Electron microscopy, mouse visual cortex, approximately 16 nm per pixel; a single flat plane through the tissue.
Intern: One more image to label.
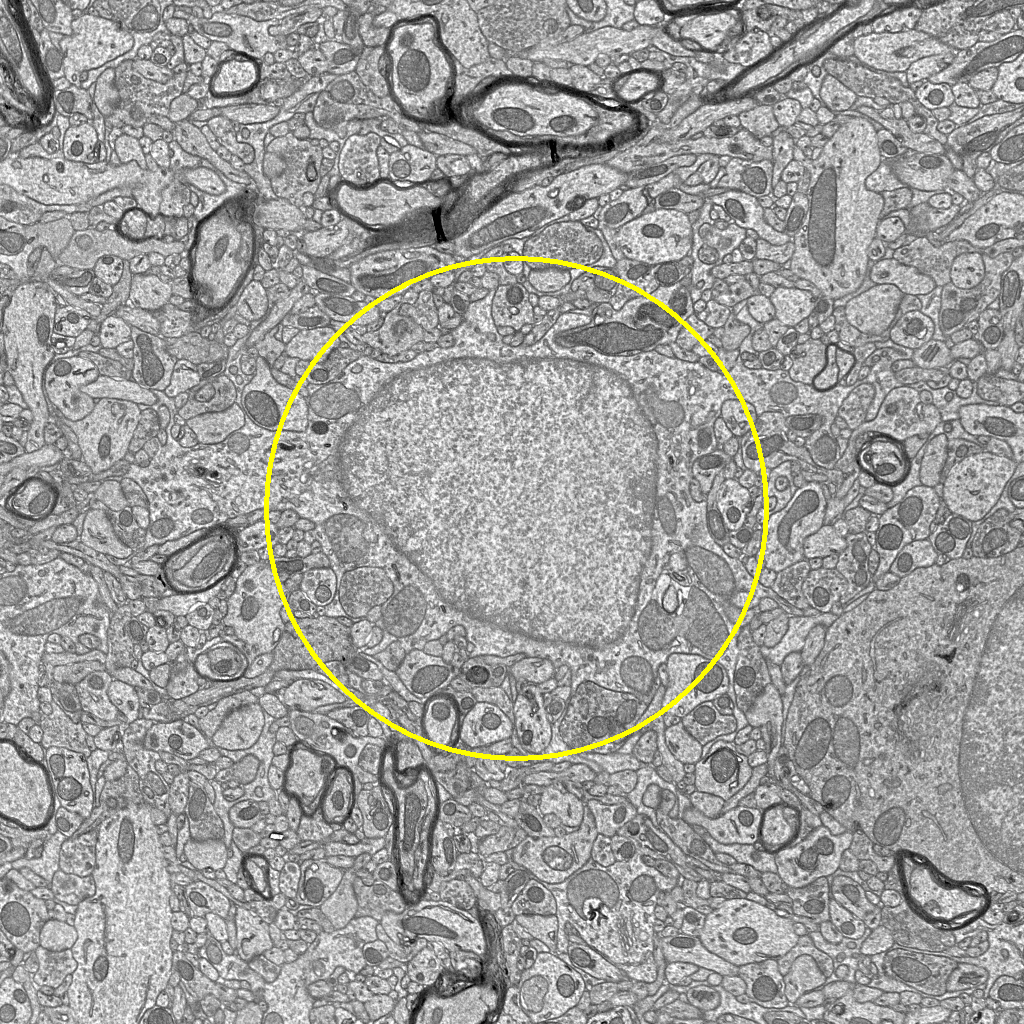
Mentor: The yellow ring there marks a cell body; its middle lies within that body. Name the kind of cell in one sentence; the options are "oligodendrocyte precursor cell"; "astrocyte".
The ring marks the cell body of an astrocyte.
